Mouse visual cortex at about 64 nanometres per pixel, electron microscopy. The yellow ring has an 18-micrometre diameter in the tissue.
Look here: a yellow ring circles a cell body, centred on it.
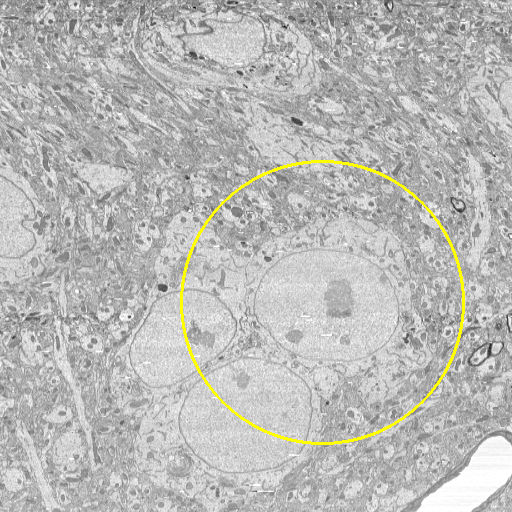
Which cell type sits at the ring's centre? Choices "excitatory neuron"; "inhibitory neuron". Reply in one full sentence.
The cell at the centre of the yellow ring in the picture is an excitatory neuron.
